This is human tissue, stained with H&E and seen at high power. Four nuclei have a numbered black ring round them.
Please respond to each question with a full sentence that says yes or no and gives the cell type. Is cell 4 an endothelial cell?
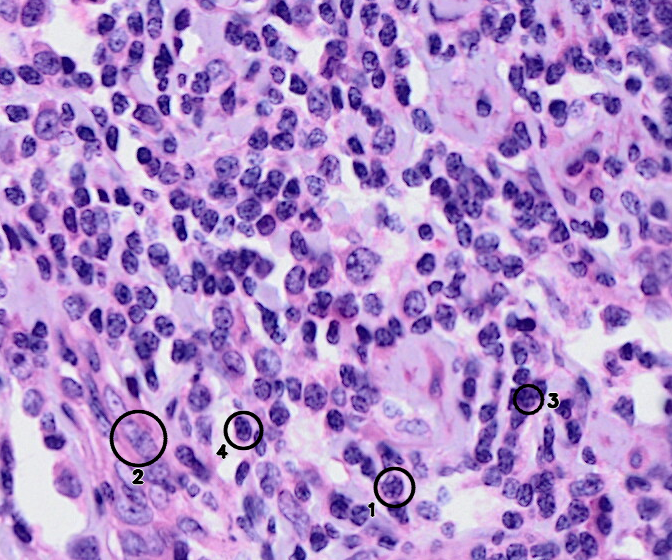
No, calling cell 4 an endothelial cell is a mistake; it is a lymphocyte.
